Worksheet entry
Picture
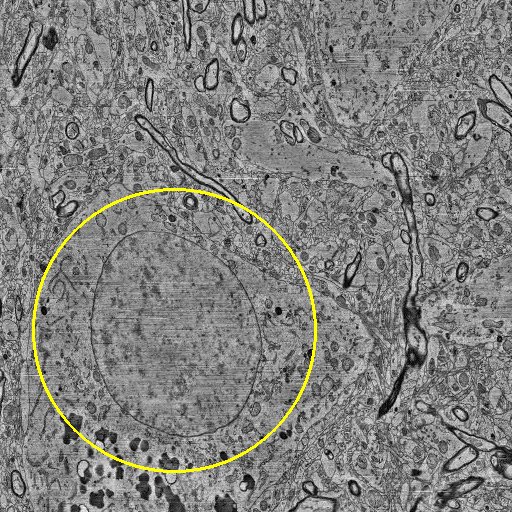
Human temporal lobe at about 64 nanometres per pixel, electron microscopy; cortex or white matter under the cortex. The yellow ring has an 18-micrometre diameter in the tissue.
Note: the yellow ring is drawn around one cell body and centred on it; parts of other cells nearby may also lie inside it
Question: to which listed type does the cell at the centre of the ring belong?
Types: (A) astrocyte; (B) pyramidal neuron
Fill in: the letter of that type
B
